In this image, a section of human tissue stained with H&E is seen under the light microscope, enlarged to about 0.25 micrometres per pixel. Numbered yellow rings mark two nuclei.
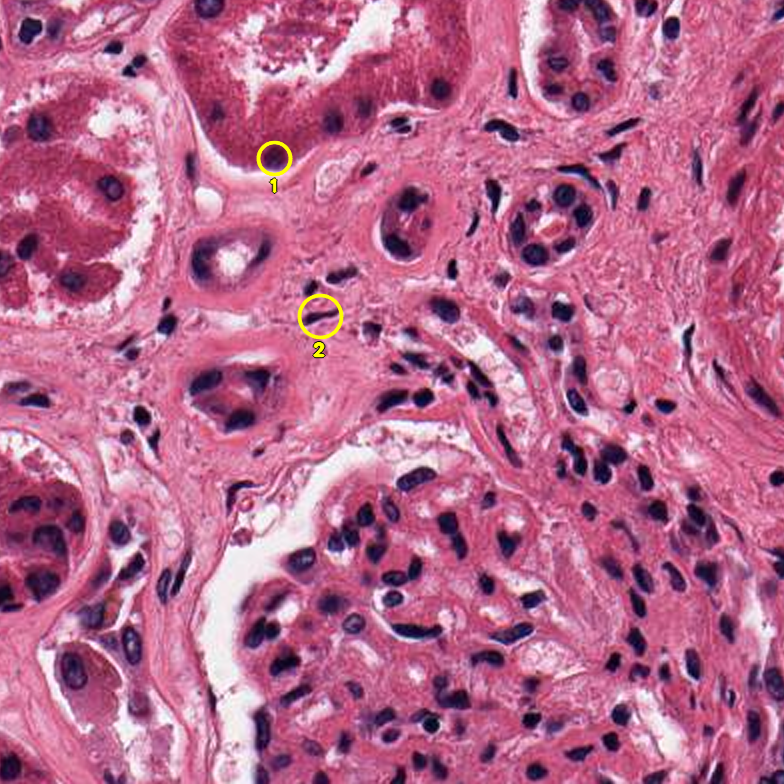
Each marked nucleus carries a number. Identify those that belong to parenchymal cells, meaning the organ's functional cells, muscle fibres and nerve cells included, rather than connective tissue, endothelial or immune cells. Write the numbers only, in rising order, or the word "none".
1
